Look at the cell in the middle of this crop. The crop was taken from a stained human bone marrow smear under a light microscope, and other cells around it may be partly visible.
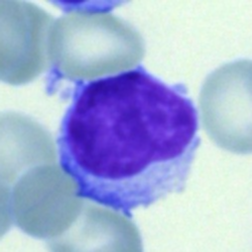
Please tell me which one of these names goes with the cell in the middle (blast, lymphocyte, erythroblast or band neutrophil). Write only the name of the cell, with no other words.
lymphocyte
